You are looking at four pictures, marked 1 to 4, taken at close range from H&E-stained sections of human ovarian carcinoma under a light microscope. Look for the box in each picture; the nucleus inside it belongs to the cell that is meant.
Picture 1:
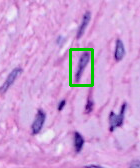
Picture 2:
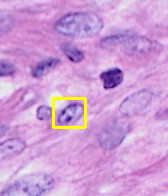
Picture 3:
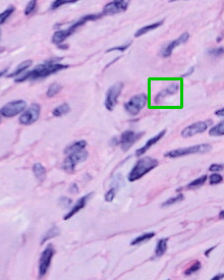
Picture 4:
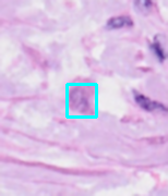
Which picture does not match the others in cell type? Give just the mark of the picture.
3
